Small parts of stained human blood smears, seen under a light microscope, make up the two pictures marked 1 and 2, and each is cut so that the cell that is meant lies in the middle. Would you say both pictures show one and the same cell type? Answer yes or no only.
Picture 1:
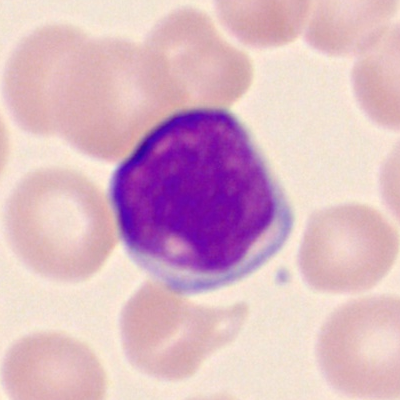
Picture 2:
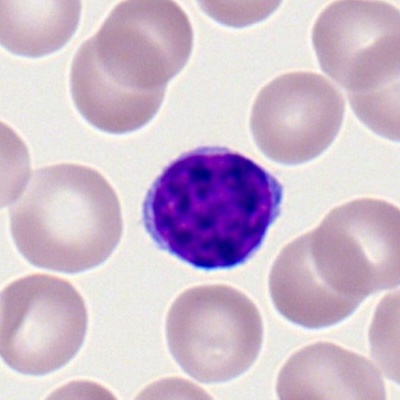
no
